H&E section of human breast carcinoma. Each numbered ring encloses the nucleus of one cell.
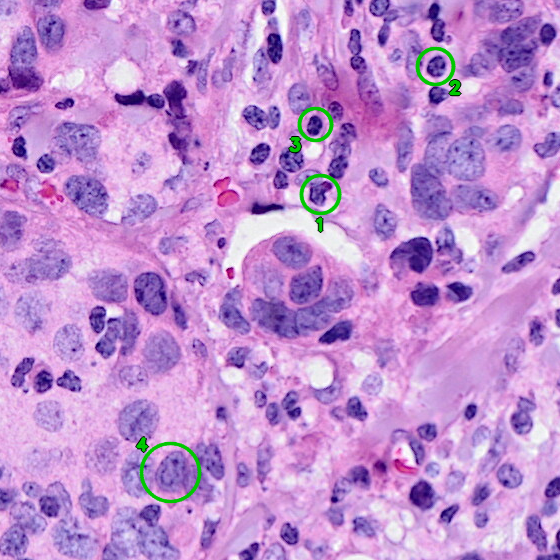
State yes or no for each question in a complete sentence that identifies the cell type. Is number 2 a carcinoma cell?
No, the cell under number 2 is a lymphocyte, not a carcinoma cell.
